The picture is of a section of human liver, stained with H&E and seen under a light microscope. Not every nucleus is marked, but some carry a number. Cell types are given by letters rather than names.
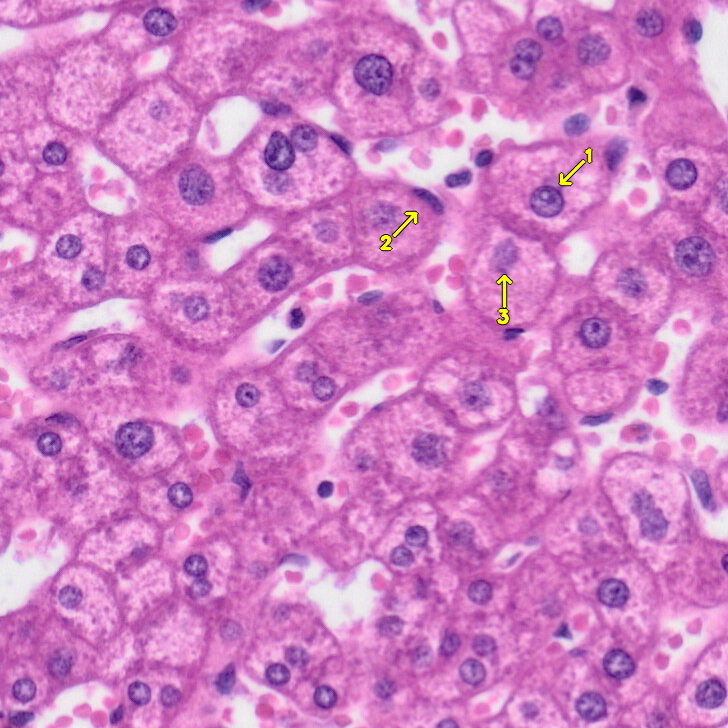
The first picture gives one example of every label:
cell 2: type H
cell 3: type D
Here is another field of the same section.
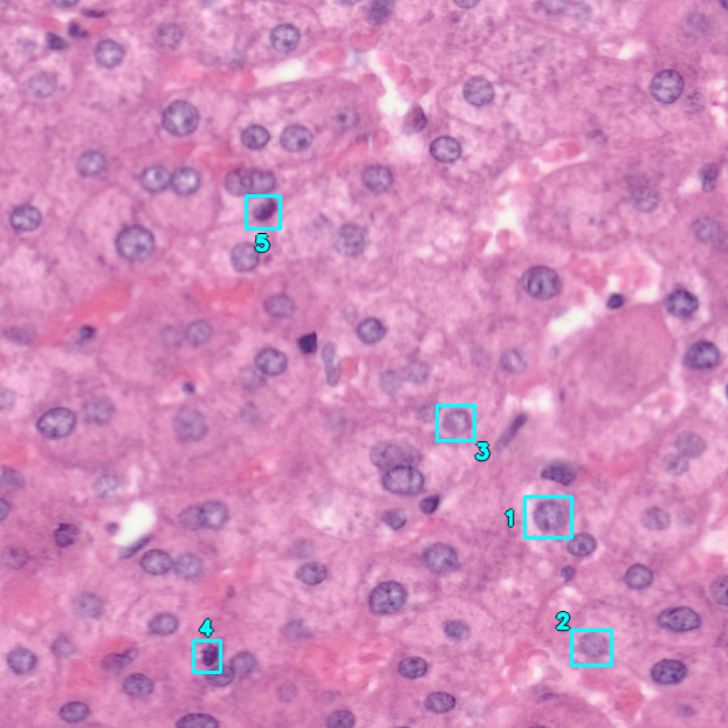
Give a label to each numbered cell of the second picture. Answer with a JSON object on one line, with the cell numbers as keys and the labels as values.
{"1": "type D", "2": "type D", "3": "type D", "4": "type H", "5": "type H"}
